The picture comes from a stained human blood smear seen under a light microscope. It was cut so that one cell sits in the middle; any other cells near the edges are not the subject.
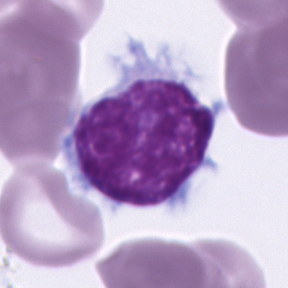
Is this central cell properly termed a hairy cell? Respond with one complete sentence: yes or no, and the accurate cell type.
Yes, the cell occupying the middle of the crop is a hairy cell.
